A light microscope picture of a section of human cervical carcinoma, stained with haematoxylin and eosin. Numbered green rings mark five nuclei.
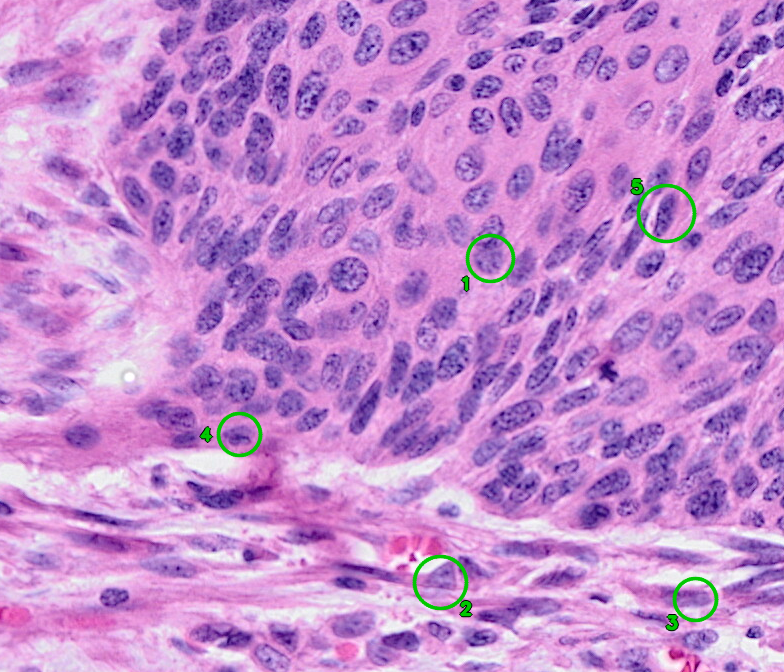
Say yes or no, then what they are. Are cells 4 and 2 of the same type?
No, listen: cell 4 is a squamous carcinoma cell and cell 2 is an endothelial cell.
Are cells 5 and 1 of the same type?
Yes, sure, cells 5 and 1 are both squamous carcinoma cells.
